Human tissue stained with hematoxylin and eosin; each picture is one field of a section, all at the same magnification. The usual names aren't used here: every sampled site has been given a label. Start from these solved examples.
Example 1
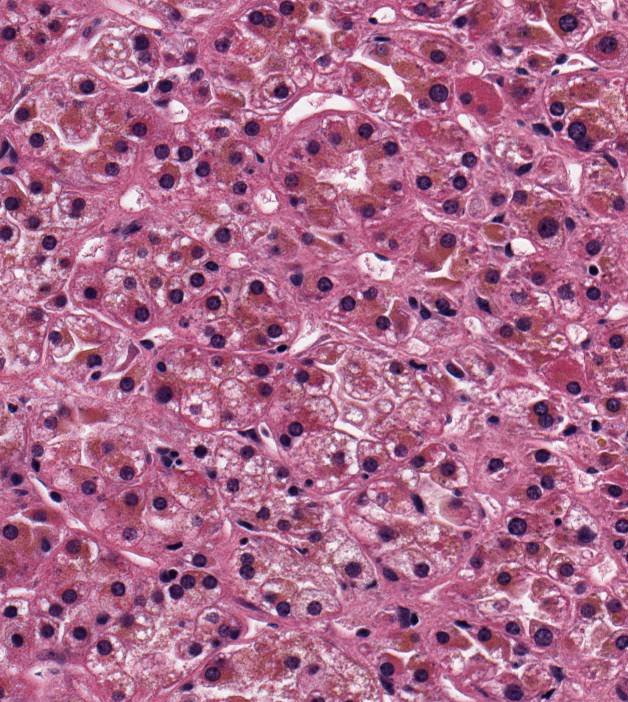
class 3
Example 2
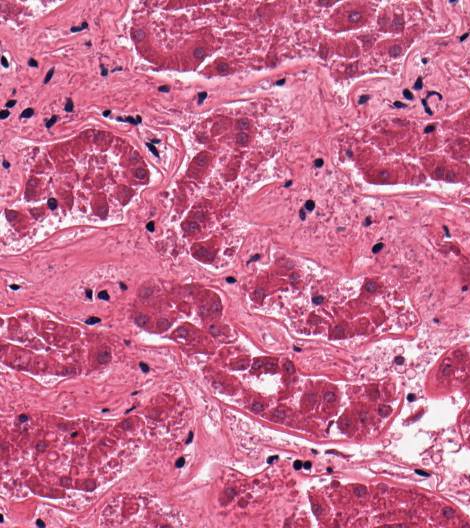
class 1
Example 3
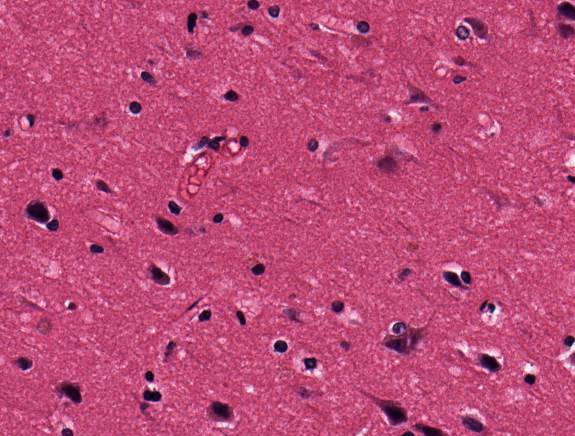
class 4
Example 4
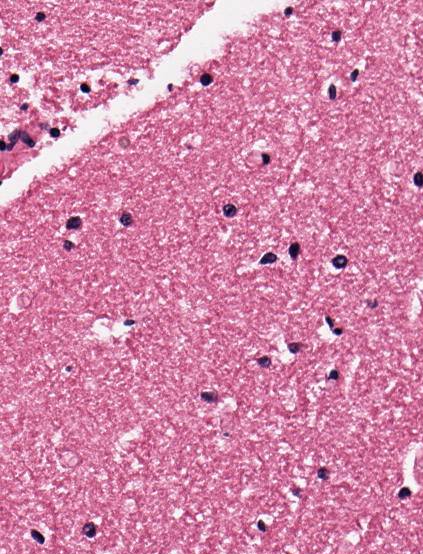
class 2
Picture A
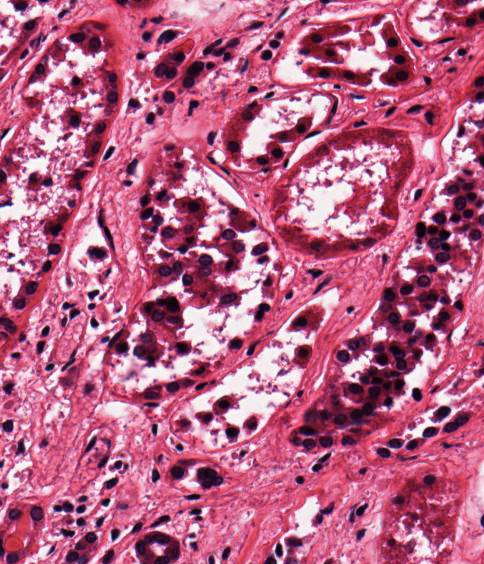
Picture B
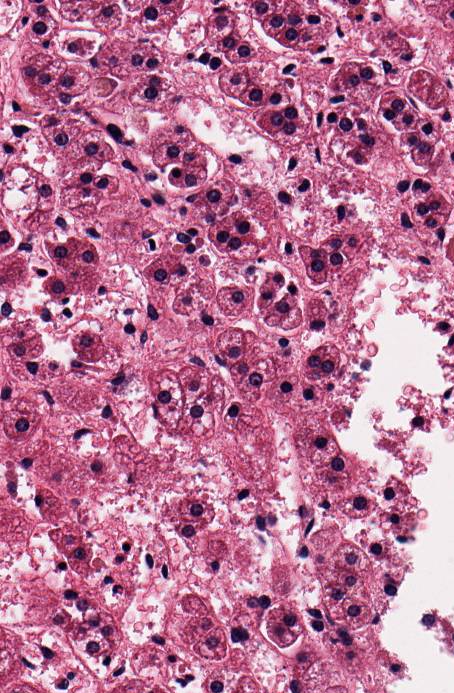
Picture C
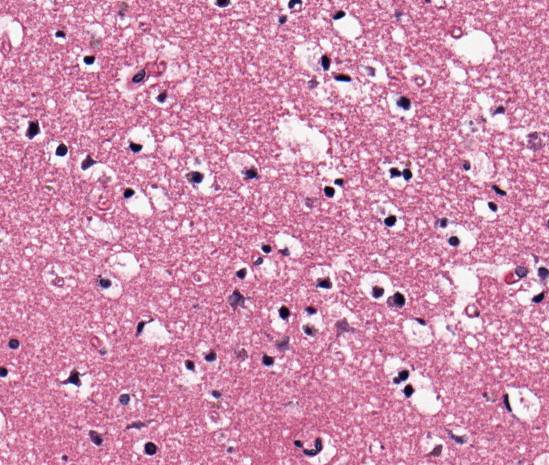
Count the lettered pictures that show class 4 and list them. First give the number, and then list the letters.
1, namely C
